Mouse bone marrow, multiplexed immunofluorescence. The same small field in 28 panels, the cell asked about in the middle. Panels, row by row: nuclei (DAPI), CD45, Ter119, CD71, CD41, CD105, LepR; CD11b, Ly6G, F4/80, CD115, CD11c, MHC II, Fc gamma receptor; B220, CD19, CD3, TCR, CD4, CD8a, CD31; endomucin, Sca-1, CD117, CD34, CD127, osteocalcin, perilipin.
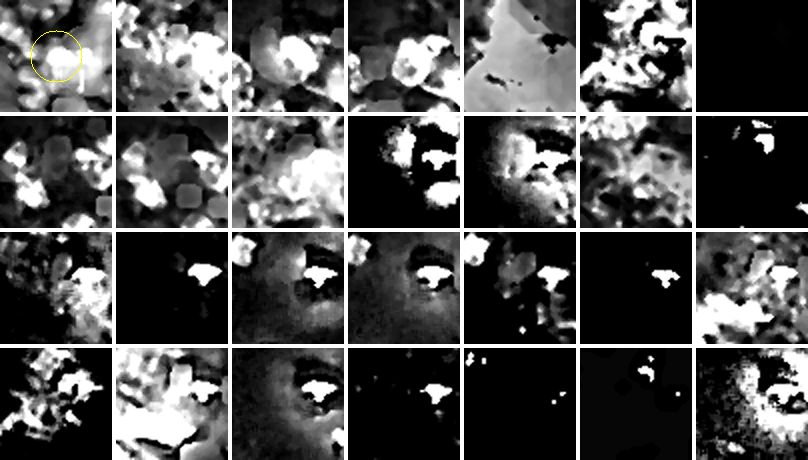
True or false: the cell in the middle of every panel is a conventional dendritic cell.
True.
